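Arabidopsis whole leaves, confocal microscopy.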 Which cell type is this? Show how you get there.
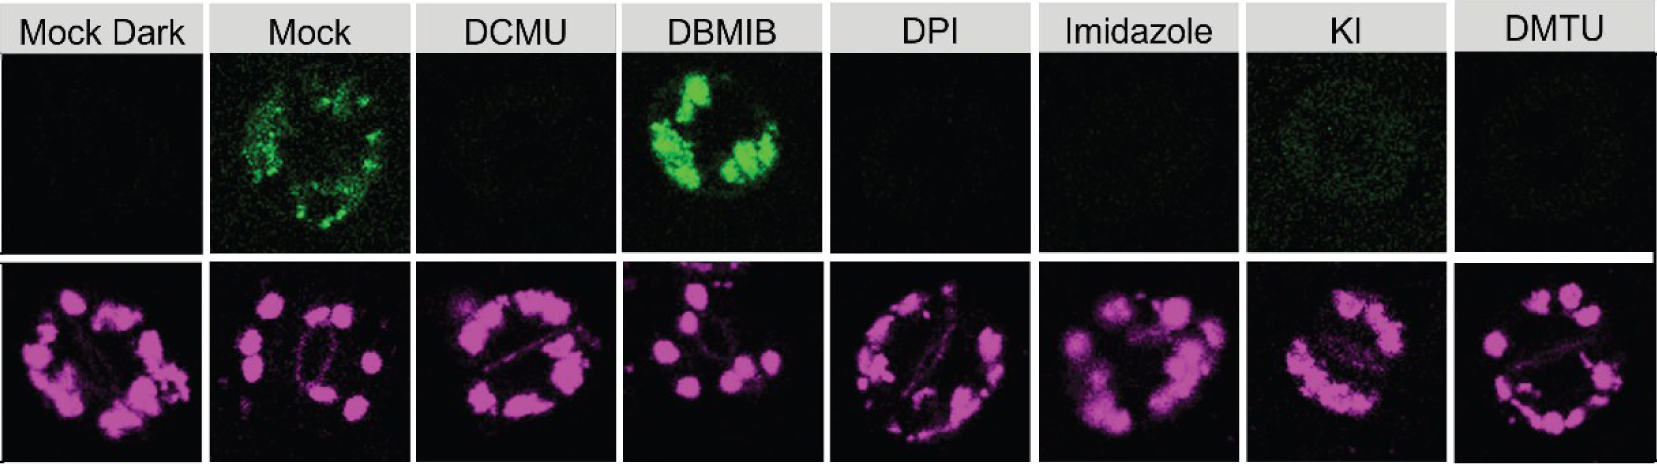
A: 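Magenta chloroplasts are clustered inside the paired cells.
Conclusion: guard cells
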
